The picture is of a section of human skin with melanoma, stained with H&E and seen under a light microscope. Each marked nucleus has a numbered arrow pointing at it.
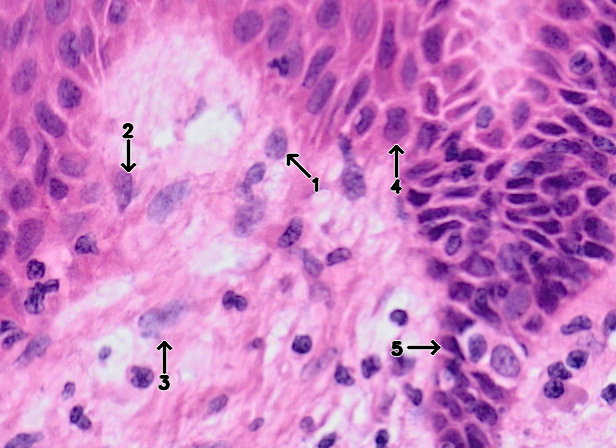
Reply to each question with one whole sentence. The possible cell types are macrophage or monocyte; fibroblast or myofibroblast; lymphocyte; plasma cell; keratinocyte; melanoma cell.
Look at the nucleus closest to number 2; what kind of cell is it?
The nearest nucleus to number 2 belongs to a keratinocyte.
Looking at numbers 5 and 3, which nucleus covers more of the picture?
It is nucleus 3, which covers about 3 times the area of nucleus 5.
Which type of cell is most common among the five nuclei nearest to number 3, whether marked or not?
Of the five nuclei nearest to number 3, most belong to lymphocytes.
